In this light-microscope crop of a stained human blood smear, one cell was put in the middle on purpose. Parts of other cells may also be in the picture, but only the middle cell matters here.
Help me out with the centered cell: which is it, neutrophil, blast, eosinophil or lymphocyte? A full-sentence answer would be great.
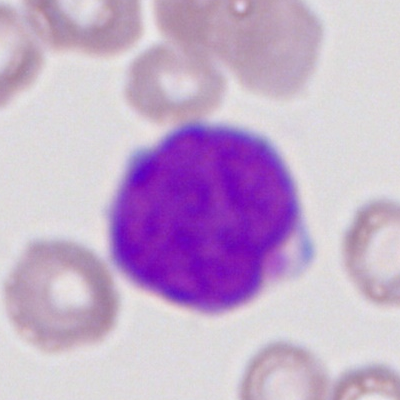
The cell found in the middle of this crop is a blast.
